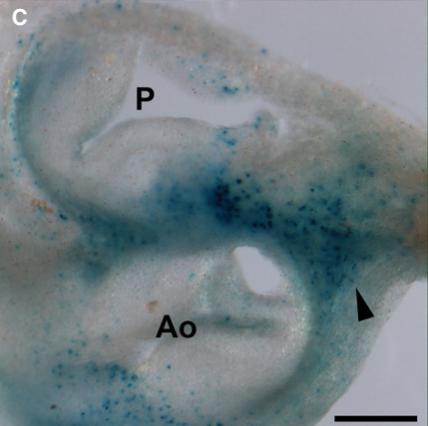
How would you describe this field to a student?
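The tissue is pale and unstained overall, so the blue deposits stand out clearly. Blue staining is concentrated in the tissue lying between and around the two arterial lumens, forming a dense cluster of dark blue dots with a more diffuse blue haze around them. Scattered single blue dots, each about the size of a cell, also appear along the outer margin of the section and in the wall below the lower artery.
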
